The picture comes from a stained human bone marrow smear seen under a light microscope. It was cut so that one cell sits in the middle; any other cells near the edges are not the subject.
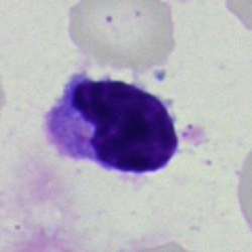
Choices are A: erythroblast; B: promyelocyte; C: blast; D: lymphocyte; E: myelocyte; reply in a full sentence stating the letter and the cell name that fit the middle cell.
What option D states is correct, the central cell being a lymphocyte.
